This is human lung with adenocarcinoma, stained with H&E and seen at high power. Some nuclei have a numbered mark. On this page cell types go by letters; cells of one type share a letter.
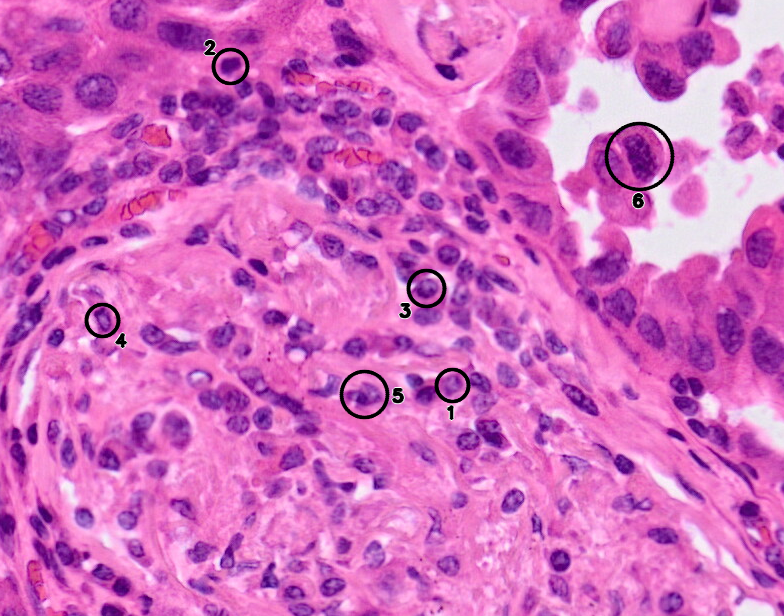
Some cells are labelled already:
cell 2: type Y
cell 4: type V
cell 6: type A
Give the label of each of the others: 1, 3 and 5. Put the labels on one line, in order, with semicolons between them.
type V; type V; type V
